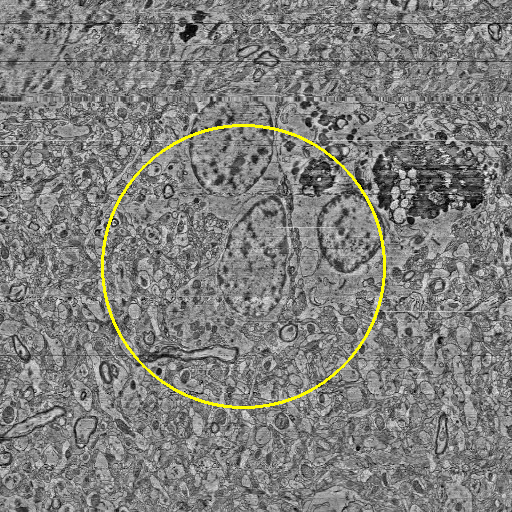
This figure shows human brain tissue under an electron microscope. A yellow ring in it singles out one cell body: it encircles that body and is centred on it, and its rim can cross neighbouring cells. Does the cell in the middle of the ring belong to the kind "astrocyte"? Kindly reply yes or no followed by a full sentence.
No, the cell centred in the figure's ring belongs to a different kind from the one asked.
